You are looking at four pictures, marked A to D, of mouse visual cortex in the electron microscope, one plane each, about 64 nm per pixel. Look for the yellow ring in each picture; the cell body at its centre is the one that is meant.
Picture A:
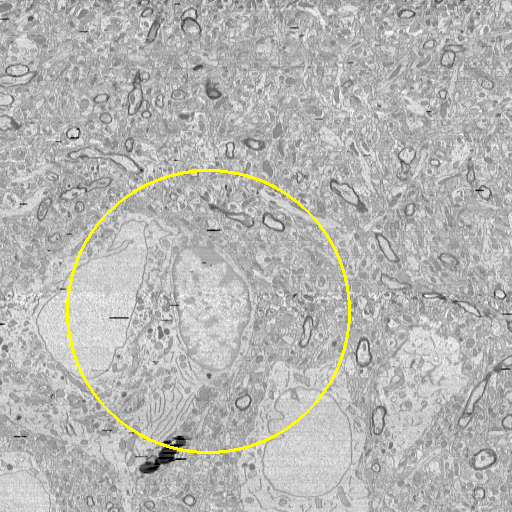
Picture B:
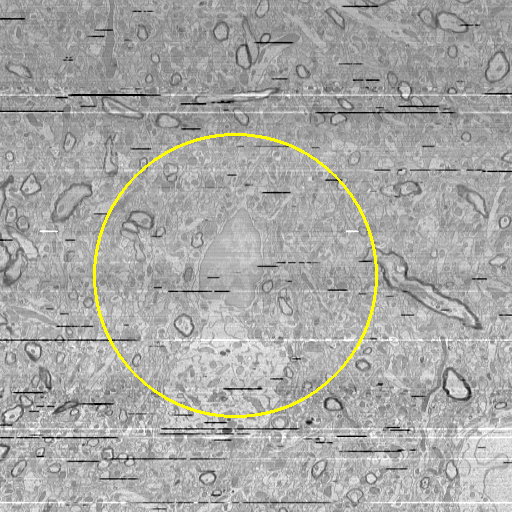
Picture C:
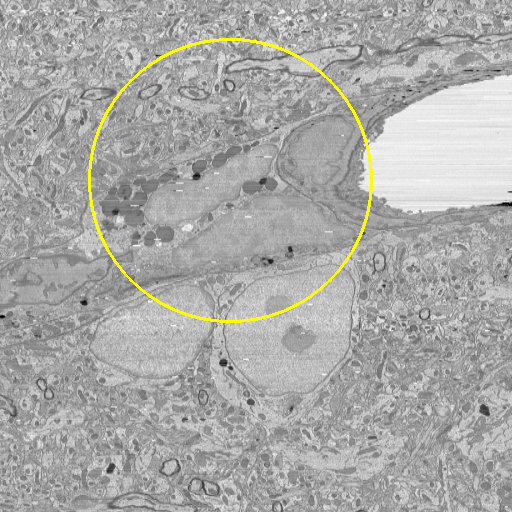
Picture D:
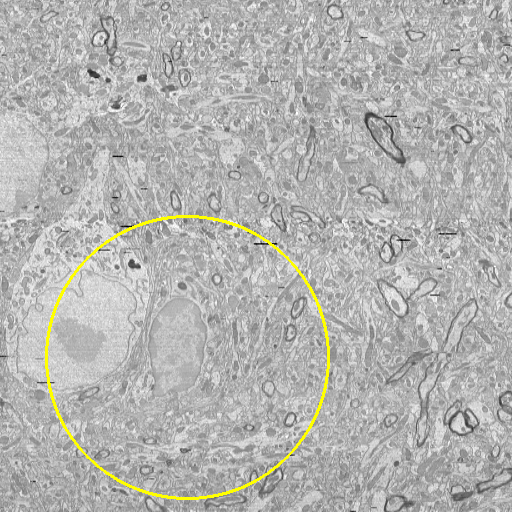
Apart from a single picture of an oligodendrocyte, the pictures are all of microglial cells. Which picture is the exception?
The cell in picture A is the oligodendrocyte.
